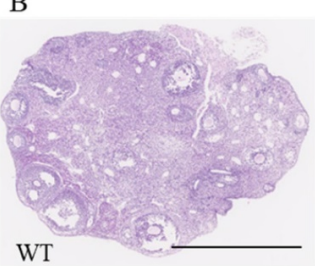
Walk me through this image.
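Numerous rounded follicles of widely different sizes are scattered through the tissue, many of the smaller ones lying near the outer surface. Several larger follicles show a central clear cavity surrounded by thick rings of densely packed, darkly stained cells. Individual cells cannot be resolved clearly at this scale, but the overall architecture of follicles set in stroma identifies the organ as an ovary.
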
